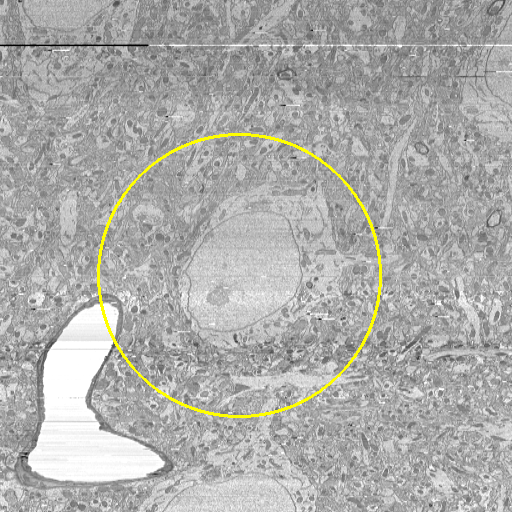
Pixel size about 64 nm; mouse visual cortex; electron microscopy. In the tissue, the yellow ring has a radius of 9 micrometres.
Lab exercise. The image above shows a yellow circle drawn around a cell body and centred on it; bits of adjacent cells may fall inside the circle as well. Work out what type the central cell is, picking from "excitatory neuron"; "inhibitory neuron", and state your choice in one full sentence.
In the image above, the cell at the centre of the yellow circle is an excitatory neuron.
